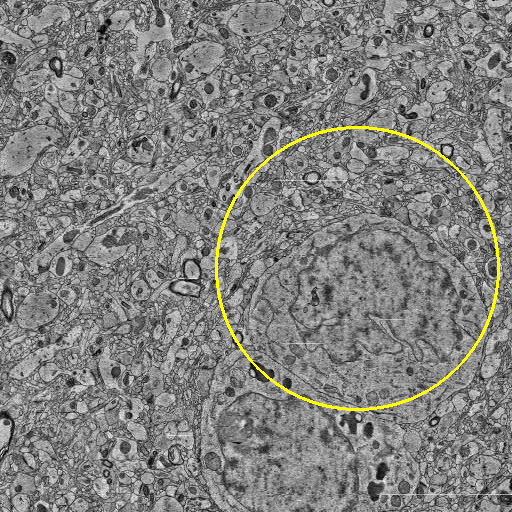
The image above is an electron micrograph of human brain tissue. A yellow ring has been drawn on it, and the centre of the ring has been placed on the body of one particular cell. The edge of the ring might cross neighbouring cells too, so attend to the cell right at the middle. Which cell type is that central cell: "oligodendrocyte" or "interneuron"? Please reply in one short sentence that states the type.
The central cell in the ring is an interneuron.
